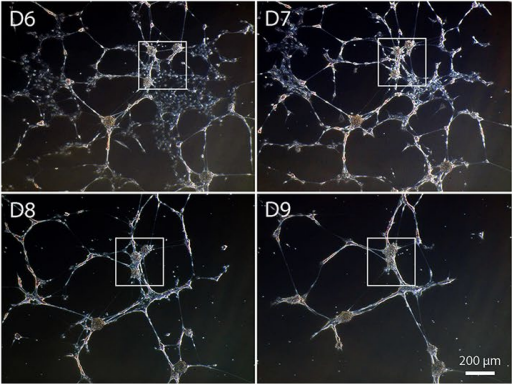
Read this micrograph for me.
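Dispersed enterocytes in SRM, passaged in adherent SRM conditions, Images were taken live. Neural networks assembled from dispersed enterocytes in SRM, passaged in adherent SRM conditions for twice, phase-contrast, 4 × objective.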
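Small aggregates of cells, the neurospheres, sit at the nodes of a mesh and are joined by long, thin, bright strands. Within the boxed region the aggregates draw closer from one view to the next and merge into a single larger mass.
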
